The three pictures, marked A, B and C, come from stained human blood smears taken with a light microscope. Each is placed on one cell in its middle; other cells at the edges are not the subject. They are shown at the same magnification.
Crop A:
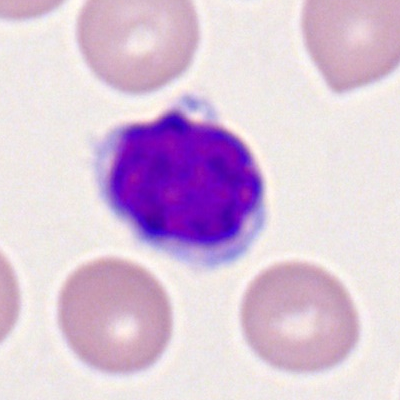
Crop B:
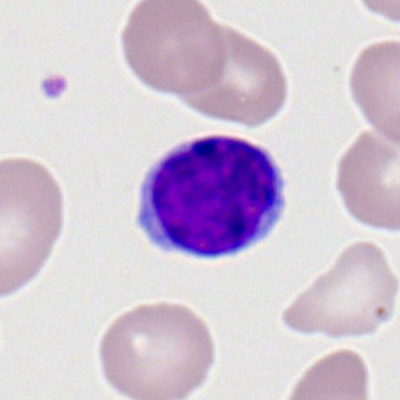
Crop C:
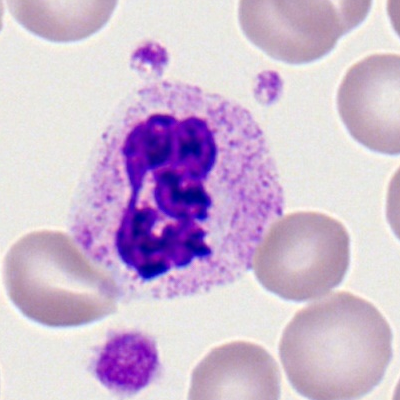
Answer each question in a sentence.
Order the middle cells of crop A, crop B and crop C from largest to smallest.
Going down, they run C, A, B.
